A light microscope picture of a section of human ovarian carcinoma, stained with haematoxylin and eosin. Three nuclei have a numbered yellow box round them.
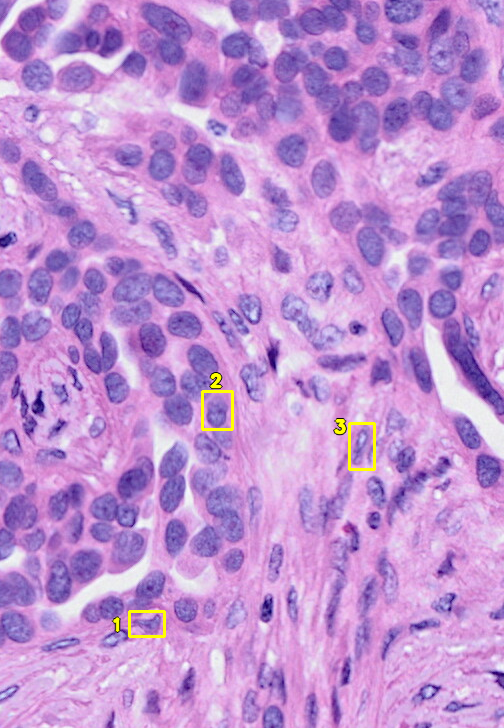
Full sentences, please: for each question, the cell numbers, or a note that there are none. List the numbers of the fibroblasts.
Classified as fibroblasts are the cells numbered 1 and 3.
